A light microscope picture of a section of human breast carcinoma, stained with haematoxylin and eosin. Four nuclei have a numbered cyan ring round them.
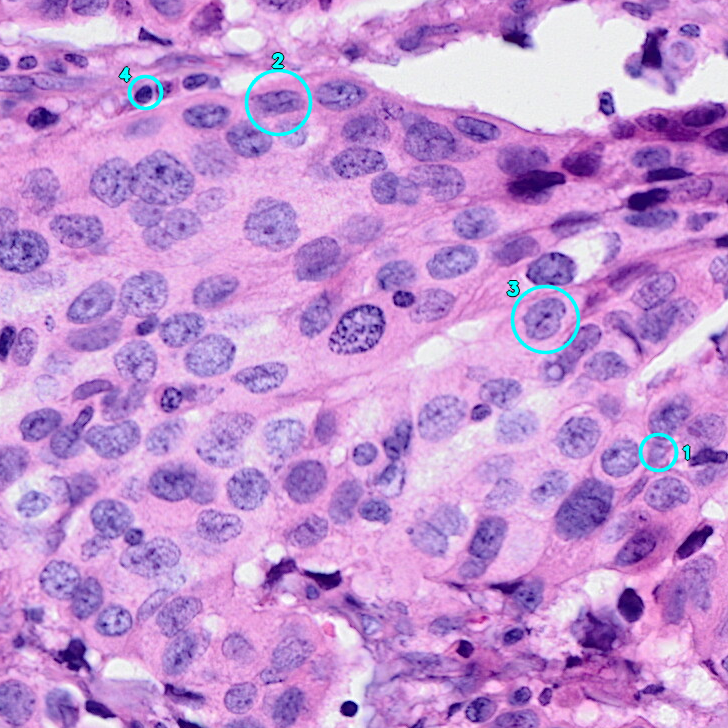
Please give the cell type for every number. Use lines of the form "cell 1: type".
cell 1: carcinoma cell
cell 2: carcinoma cell
cell 3: carcinoma cell
cell 4: lymphocyte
